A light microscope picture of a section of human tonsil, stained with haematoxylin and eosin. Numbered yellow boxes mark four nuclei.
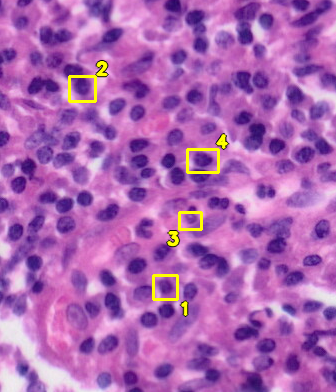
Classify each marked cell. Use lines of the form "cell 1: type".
cell 1: plasma cell
cell 2: plasma cell
cell 3: endothelial cell
cell 4: plasma cell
